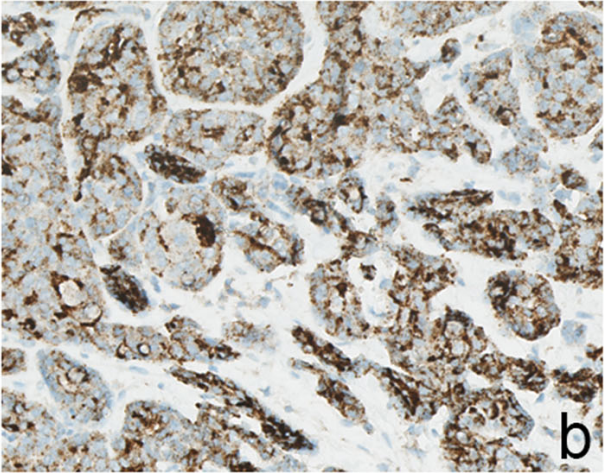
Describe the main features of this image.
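The nests are rounded or elongated and sharply separated from the stroma, and some contain small gland-like lumina. Most tumour cells carry a dense, granular brown stain in their cytoplasm, while their small oval nuclei show blue. The stroma between the nests holds scattered spindle-shaped cells with blue nuclei and no brown stain.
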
